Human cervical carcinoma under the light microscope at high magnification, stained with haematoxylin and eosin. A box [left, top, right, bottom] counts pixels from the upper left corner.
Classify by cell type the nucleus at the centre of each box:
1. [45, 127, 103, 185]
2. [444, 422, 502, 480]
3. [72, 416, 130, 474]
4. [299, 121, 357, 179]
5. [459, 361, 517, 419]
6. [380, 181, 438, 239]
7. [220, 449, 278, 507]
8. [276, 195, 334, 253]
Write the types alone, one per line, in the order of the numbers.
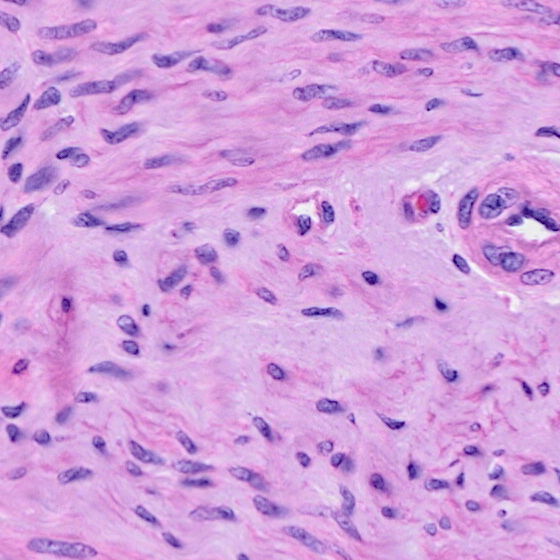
fibroblast
smooth muscle cell
smooth muscle cell
smooth muscle cell
smooth muscle cell
endothelial cell
smooth muscle cell
endothelial cell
